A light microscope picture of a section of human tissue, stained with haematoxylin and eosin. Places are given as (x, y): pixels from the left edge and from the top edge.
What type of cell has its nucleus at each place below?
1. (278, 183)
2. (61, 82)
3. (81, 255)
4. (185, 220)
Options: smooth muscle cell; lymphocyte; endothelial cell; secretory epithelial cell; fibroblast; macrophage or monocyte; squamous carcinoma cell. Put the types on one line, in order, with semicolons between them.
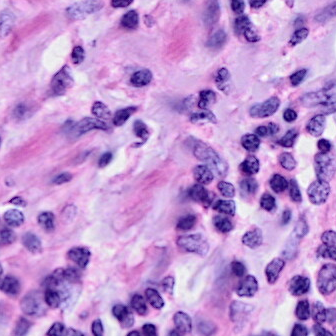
lymphocyte; macrophage or monocyte; lymphocyte; lymphocyte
